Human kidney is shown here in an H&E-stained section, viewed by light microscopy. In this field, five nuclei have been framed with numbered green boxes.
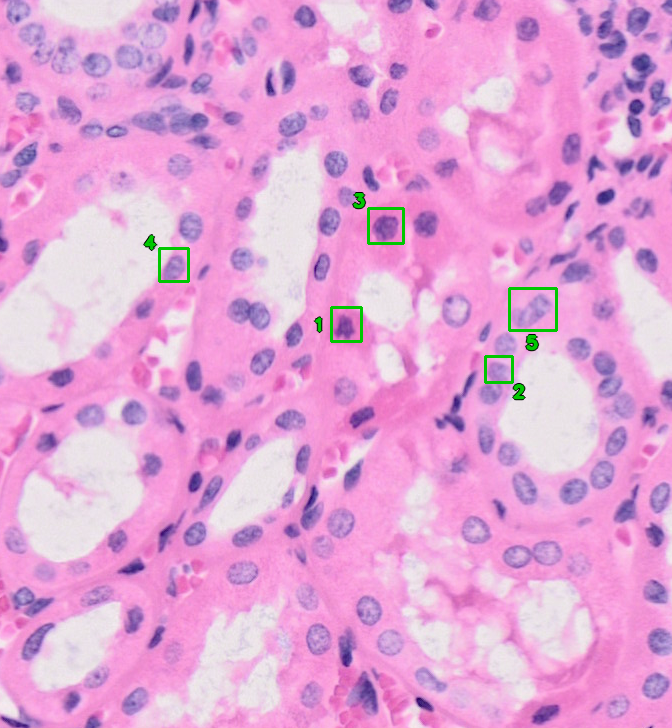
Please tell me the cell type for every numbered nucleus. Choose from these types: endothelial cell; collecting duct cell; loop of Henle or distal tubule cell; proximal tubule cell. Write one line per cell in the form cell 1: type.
cell 1: proximal tubule cell
cell 2: collecting duct cell
cell 3: proximal tubule cell
cell 4: loop of Henle or distal tubule cell
cell 5: collecting duct cell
